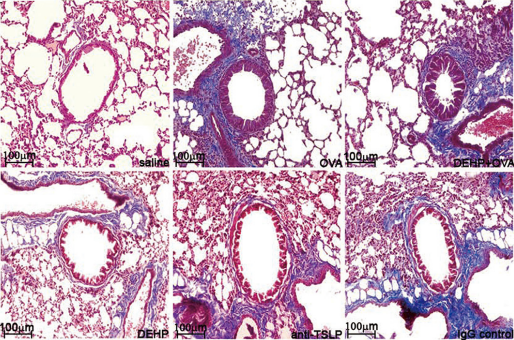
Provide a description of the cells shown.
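Six views of lung tissue each show a bronchiole with a red-stained epithelial lining, surrounded by alveolar tissue with thin red to pink septa. Around several airways, a band of blue-stained fibrous material lies beneath the epithelium and extends into the surrounding tissue. In other views, the blue around the airway is thin or barely present.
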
